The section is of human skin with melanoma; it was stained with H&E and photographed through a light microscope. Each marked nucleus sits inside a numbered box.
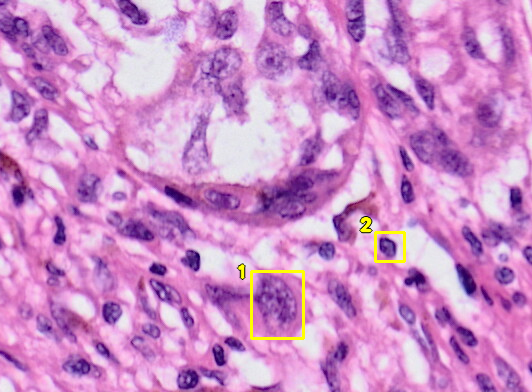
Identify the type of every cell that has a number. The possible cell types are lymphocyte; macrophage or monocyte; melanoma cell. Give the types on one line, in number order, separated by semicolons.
melanoma cell; lymphocyte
